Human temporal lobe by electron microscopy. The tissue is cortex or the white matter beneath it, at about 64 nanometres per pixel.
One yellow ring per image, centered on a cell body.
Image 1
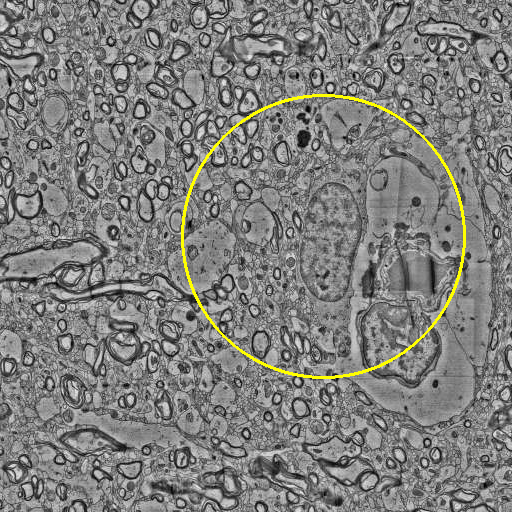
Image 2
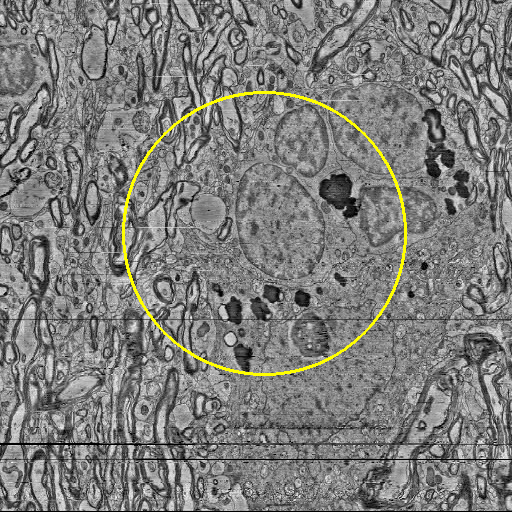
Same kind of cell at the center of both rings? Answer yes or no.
yes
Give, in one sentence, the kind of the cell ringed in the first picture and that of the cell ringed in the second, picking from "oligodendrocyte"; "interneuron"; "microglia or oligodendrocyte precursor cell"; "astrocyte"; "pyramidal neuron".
Each of the ringed cells, first and second, is an oligodendrocyte.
